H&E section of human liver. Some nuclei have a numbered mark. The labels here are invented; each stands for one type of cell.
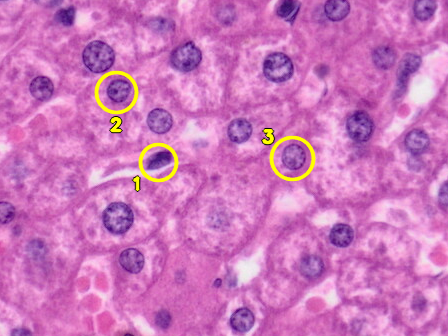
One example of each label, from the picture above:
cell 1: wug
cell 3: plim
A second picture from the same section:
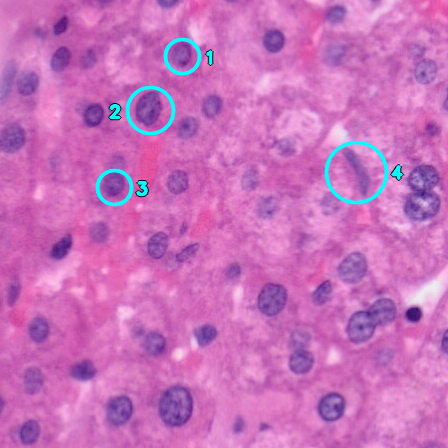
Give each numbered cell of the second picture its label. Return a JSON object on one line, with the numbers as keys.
{"1": "plim", "2": "plim", "3": "plim", "4": "wug"}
